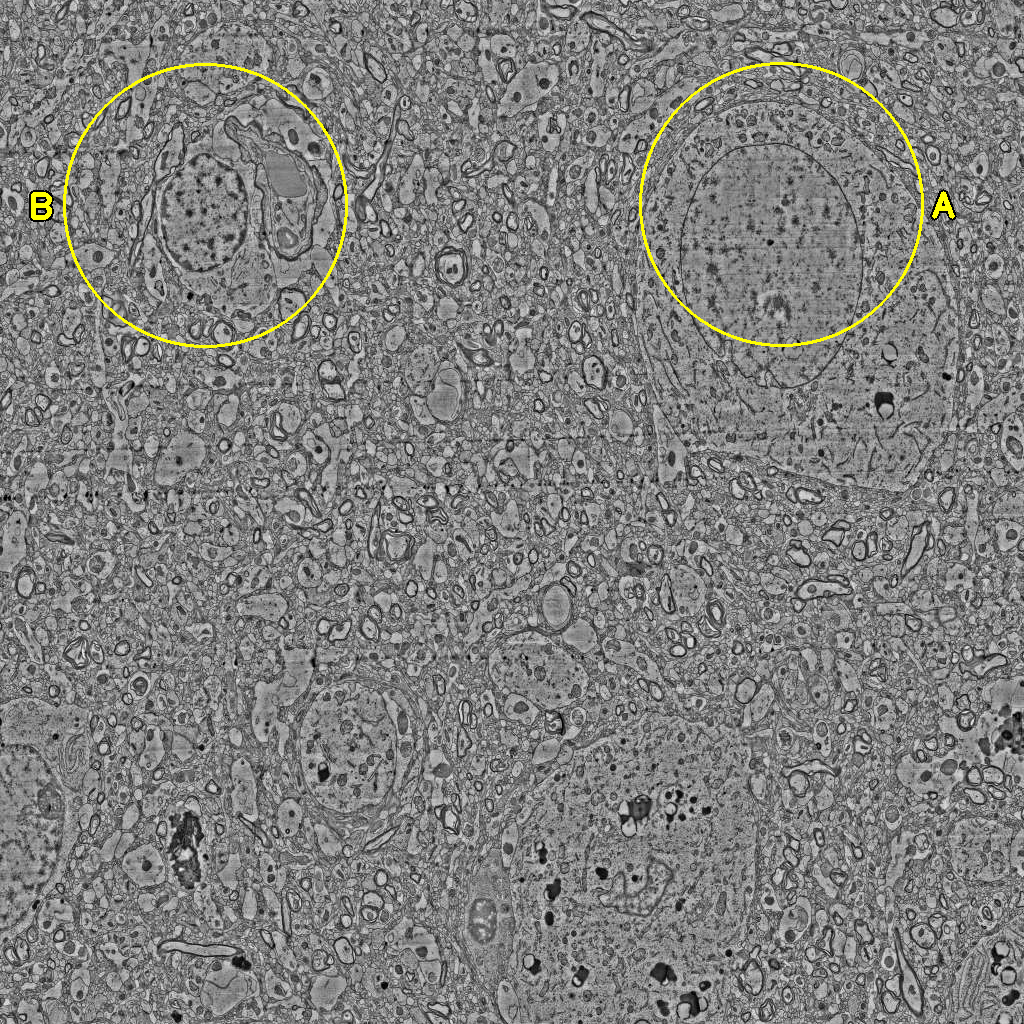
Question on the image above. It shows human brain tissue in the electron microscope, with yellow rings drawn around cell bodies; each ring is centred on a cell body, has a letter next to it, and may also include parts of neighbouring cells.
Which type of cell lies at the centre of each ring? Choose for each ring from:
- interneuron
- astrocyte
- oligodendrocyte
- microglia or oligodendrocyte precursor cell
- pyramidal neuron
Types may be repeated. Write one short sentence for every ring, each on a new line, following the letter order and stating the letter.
Ring A has been drawn around a pyramidal neuron.
Ring B has been drawn around a microglial cell or oligodendrocyte precursor cell.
